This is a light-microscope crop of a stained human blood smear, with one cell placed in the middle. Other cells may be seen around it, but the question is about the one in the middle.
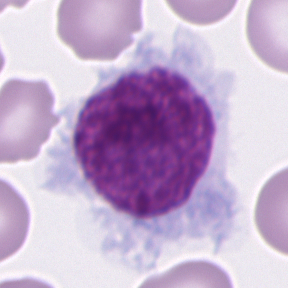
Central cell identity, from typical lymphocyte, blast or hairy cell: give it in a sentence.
The cell of interest, in the center, is a hairy cell.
